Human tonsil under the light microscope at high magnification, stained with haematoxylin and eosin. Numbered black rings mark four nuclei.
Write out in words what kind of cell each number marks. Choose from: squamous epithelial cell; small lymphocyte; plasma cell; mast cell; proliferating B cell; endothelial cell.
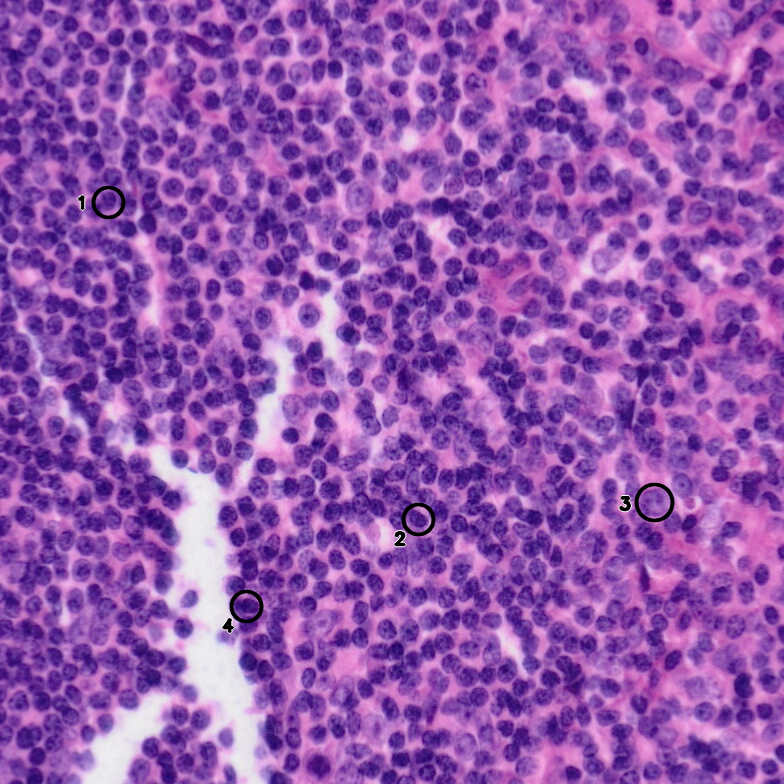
Cells 1, 2 and 4 are small lymphocytes. Cell 3 is a proliferating B cell.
